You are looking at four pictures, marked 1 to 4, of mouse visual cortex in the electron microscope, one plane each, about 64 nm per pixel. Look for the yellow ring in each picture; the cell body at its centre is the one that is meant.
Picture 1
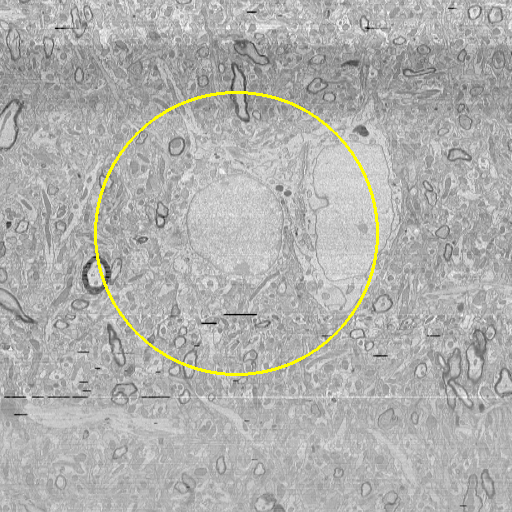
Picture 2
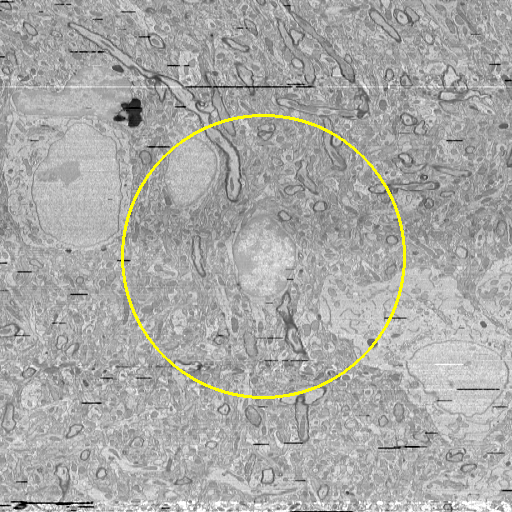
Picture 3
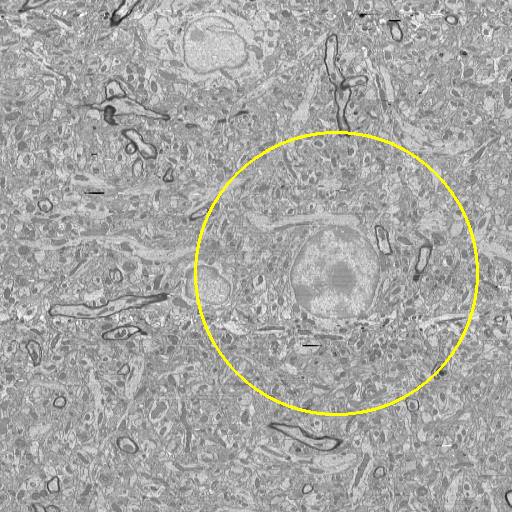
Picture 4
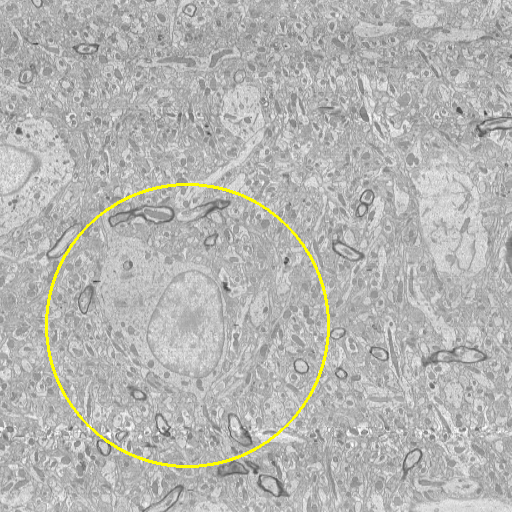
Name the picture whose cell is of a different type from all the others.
Picture 1 differs, because its cell is an astrocyte and the rest are oligodendrocytes.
